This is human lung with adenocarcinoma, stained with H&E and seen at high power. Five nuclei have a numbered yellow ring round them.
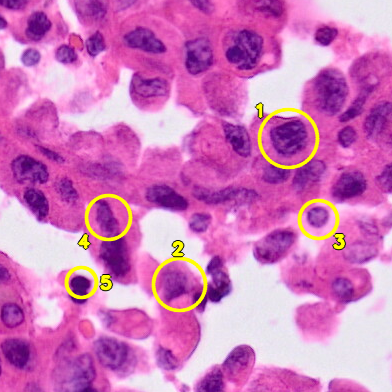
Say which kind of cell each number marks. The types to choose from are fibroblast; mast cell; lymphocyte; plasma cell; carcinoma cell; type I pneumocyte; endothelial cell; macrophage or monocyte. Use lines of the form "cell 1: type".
cell 1: carcinoma cell
cell 2: carcinoma cell
cell 3: lymphocyte
cell 4: carcinoma cell
cell 5: lymphocyte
